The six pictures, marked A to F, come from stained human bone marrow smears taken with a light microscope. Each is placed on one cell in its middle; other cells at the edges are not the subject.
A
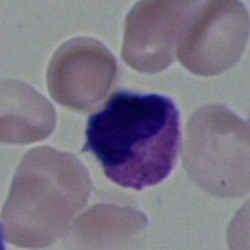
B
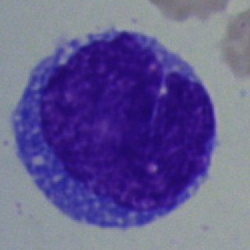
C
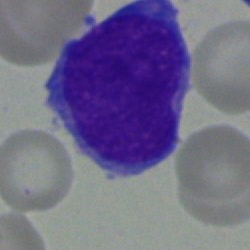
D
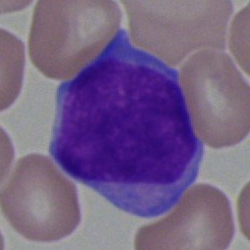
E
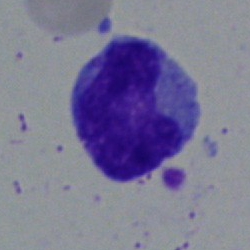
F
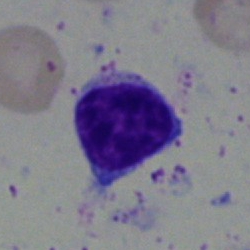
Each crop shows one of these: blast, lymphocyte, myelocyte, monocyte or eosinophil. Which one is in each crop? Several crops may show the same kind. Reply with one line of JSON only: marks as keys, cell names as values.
{"A": "eosinophil", "B": "blast", "C": "blast", "D": "blast", "E": "monocyte", "F": "lymphocyte"}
